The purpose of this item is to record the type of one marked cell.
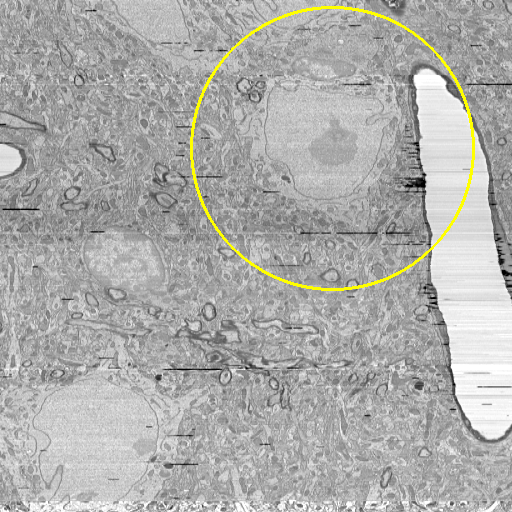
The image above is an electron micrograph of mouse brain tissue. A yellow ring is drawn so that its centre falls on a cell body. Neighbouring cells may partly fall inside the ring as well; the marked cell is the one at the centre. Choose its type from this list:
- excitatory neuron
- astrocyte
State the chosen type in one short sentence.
What the ring marks here is an excitatory neuron.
